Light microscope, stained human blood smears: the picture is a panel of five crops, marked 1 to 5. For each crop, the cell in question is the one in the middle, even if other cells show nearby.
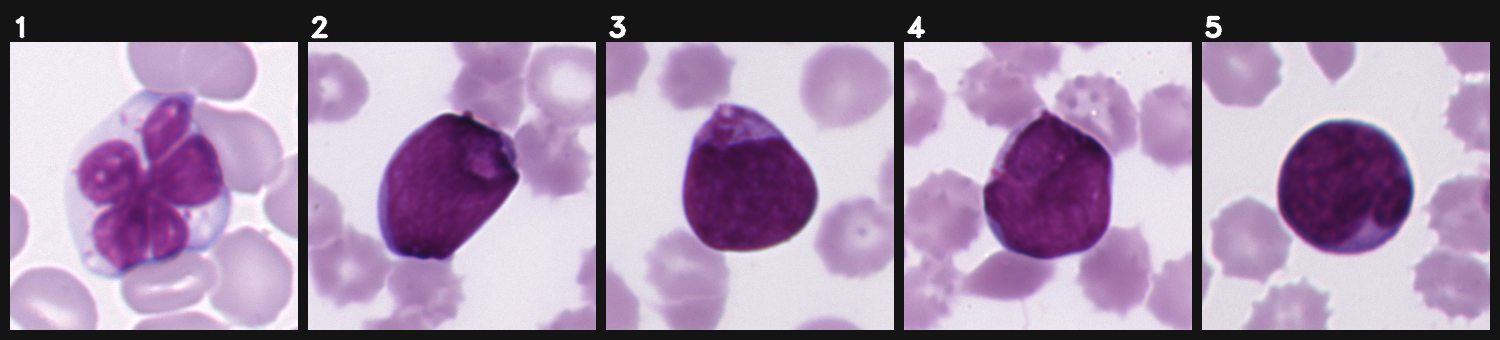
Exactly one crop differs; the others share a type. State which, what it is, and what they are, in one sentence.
All the crops contain myeloblasts save crop 1, where there is a large granular lymphocyte.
